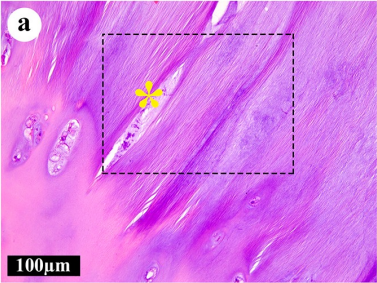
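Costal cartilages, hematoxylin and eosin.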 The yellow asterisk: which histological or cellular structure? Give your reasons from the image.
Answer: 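Lens-shaped cavities. A narrow elongated clear space lies at the asterisk. It runs parallel to the surrounding fibre-like streaks of matrix.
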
